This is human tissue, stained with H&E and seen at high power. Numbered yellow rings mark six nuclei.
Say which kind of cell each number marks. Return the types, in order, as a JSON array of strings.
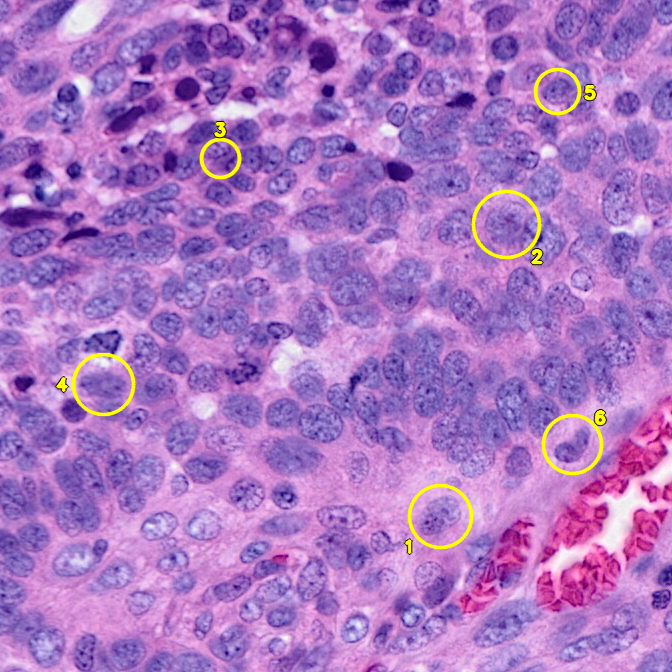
["fibroblast", "carcinoma cell", "carcinoma cell", "carcinoma cell", "carcinoma cell", "macrophage or monocyte"]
